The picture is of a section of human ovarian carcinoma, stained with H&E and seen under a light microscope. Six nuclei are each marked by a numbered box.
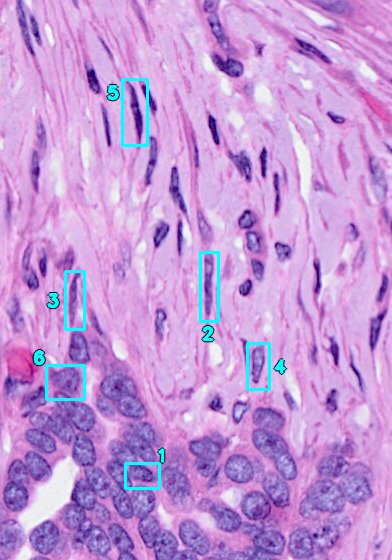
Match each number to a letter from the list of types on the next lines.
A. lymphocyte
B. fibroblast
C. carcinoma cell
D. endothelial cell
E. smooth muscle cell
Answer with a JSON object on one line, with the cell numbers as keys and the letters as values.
{"1": "C", "2": "B", "3": "B", "4": "B", "5": "B", "6": "C"}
